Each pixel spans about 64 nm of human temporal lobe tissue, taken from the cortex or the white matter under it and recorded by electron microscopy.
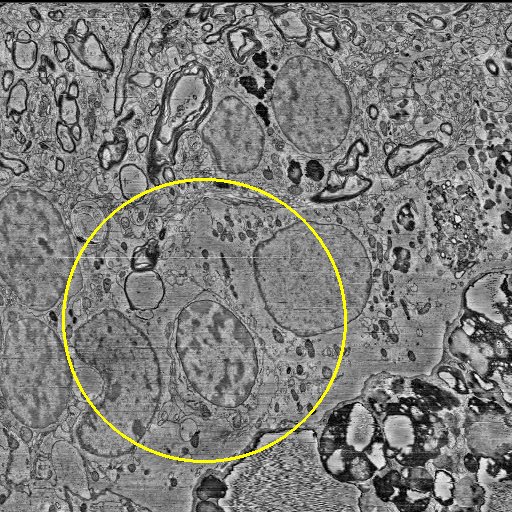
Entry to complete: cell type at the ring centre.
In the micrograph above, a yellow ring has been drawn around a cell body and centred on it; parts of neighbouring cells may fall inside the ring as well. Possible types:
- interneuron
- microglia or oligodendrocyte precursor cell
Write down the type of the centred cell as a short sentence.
The ring is centred on a microglial cell or oligodendrocyte precursor cell.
